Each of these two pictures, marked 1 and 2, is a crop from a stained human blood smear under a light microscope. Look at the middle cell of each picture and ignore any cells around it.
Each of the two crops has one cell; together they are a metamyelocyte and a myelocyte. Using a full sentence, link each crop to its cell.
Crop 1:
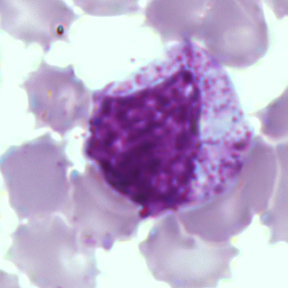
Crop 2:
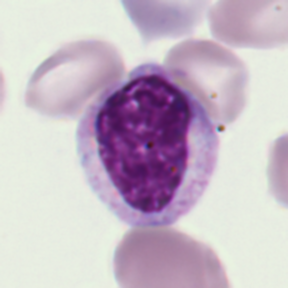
Within crop 1 sits a myelocyte, and within crop 2 sits a metamyelocyte.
